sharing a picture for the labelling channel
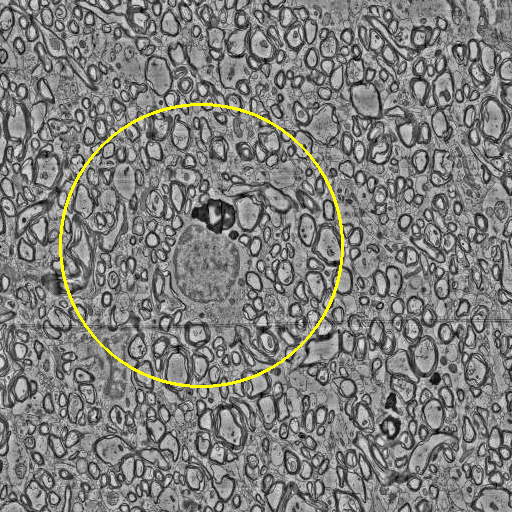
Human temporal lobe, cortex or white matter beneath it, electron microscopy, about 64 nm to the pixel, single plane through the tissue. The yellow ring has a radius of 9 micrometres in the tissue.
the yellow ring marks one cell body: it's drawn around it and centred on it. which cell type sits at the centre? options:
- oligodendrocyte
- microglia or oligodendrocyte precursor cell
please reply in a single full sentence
In the picture, the cell at the ring's centre is an oligodendrocyte, going by the list.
